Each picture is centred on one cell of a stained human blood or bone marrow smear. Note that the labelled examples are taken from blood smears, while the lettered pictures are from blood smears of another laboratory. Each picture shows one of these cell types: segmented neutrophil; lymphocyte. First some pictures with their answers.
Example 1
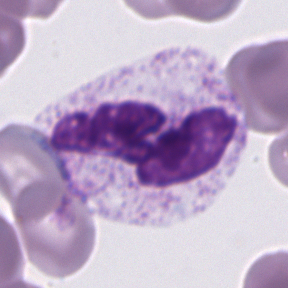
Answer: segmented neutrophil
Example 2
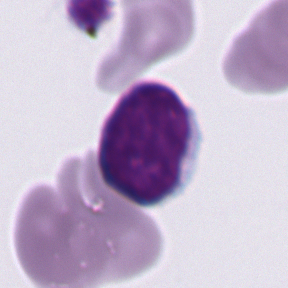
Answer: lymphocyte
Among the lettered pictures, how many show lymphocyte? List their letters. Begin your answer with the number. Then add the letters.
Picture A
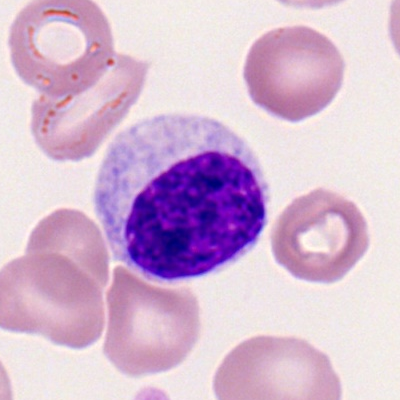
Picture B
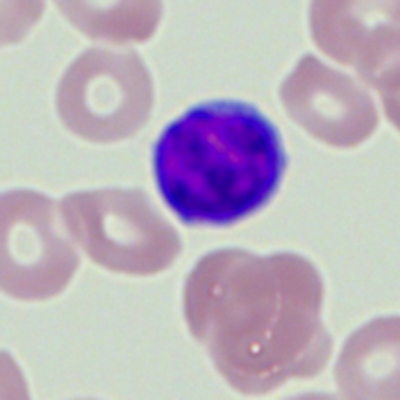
Count: 2 (A, B)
